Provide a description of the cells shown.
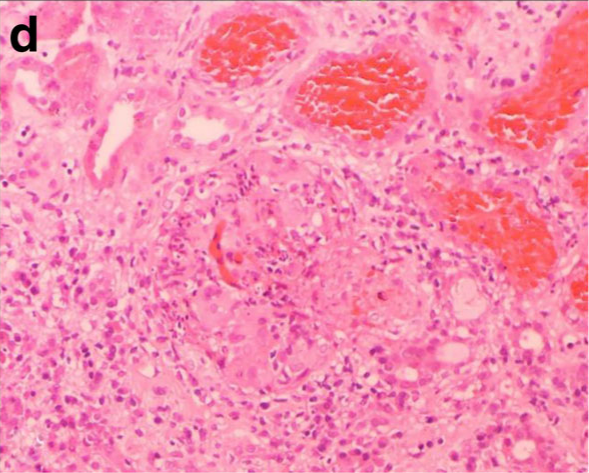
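Renal cortex with a glomerulus in the lower middle surrounded by crowded cells forming a crescent-like layer around the tuft. The glomerular outline is indistinct, with pink amorphous material and scattered red cells within it. Dense inflammatory cells with small dark nuclei fill the surrounding interstitium. Several tubules in the upper right are distended and packed with red blood cells, forming casts. Remaining tubules show pink epithelium, some with open lumens.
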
